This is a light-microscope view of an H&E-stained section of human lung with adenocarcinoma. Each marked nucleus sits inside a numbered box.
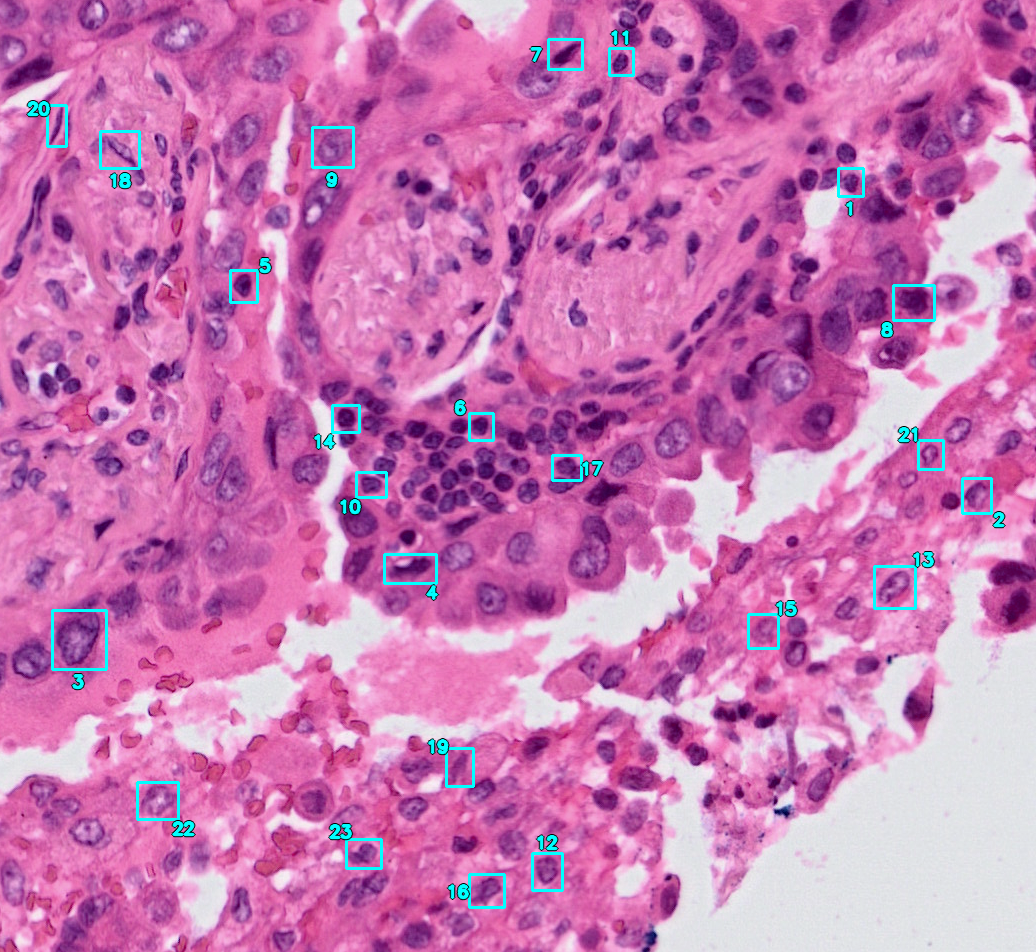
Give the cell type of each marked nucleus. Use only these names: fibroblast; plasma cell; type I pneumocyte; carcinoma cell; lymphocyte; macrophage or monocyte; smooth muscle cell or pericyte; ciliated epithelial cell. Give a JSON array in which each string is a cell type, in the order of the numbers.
["lymphocyte", "macrophage or monocyte", "carcinoma cell", "carcinoma cell", "lymphocyte", "lymphocyte", "carcinoma cell", "carcinoma cell", "carcinoma cell", "lymphocyte", "lymphocyte", "macrophage or monocyte", "macrophage or monocyte", "lymphocyte", "macrophage or monocyte", "macrophage or monocyte", "lymphocyte", "fibroblast", "macrophage or monocyte", "fibroblast", "macrophage or monocyte", "macrophage or monocyte", "macrophage or monocyte"]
